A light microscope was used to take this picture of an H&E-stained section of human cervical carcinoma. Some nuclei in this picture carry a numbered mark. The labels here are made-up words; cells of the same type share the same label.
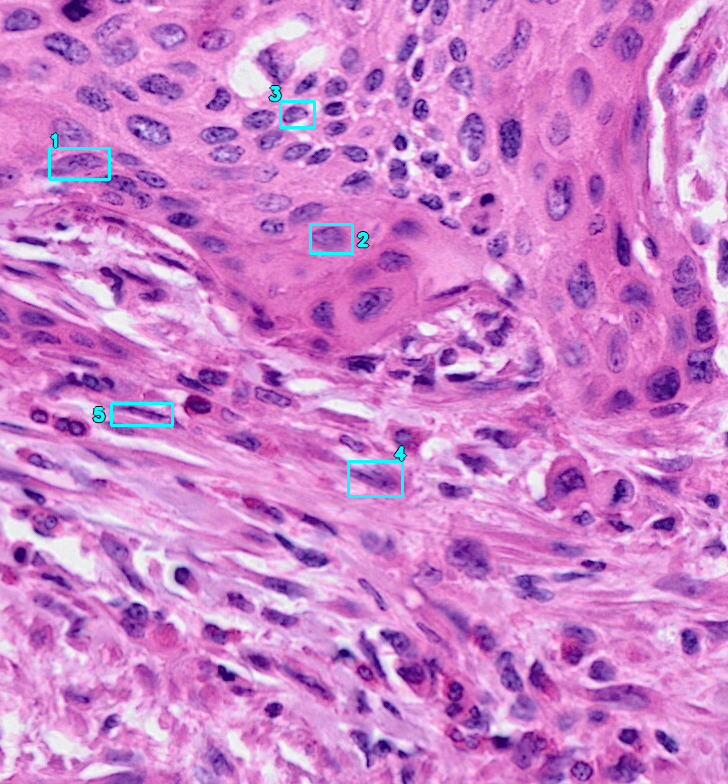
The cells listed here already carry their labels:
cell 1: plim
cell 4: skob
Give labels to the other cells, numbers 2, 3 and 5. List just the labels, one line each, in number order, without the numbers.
plim
plim
skob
